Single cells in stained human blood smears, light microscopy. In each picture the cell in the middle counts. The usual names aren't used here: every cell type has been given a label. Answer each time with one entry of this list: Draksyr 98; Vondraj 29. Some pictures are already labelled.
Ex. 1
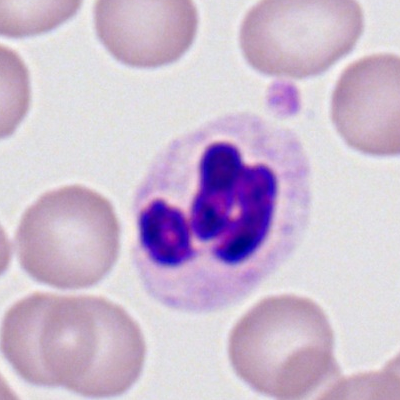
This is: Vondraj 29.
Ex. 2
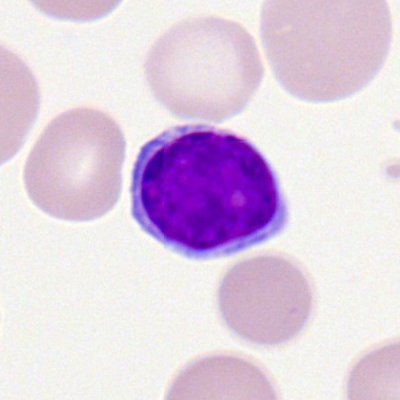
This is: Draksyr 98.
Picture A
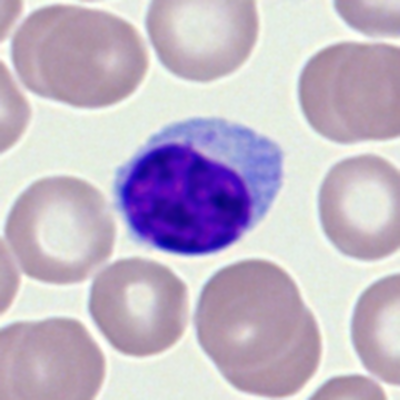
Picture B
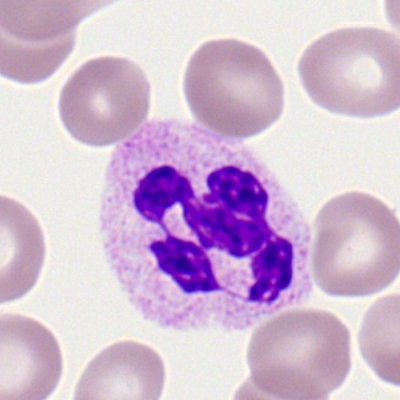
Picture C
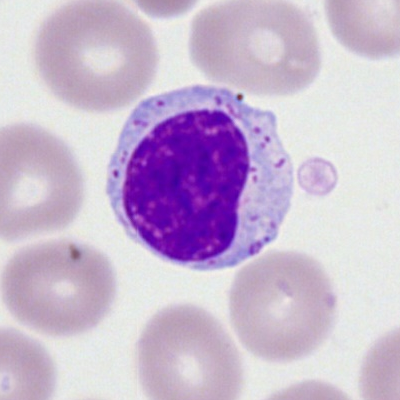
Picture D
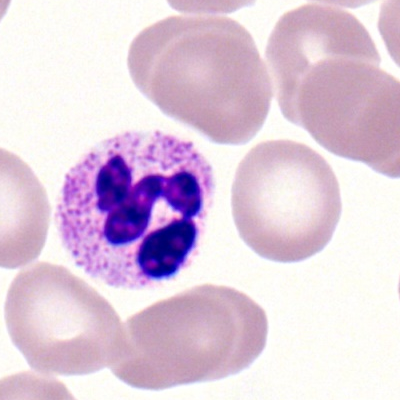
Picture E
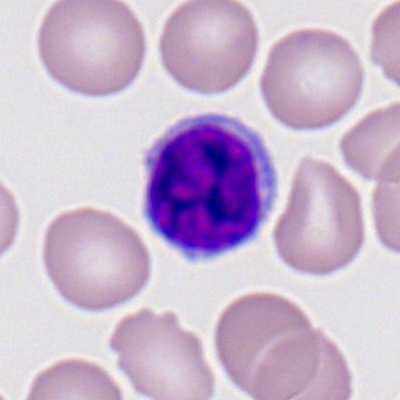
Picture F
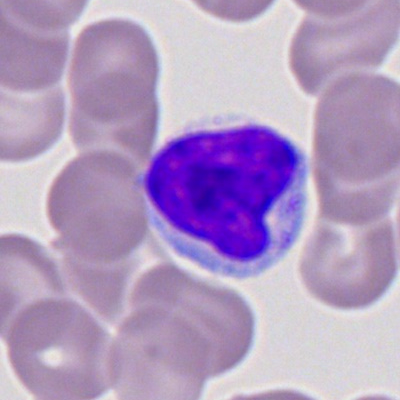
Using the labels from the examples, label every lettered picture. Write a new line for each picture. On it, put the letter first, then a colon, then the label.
A: Draksyr 98.
B: Vondraj 29.
C: Draksyr 98.
D: Vondraj 29.
E: Draksyr 98.
F: Draksyr 98.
